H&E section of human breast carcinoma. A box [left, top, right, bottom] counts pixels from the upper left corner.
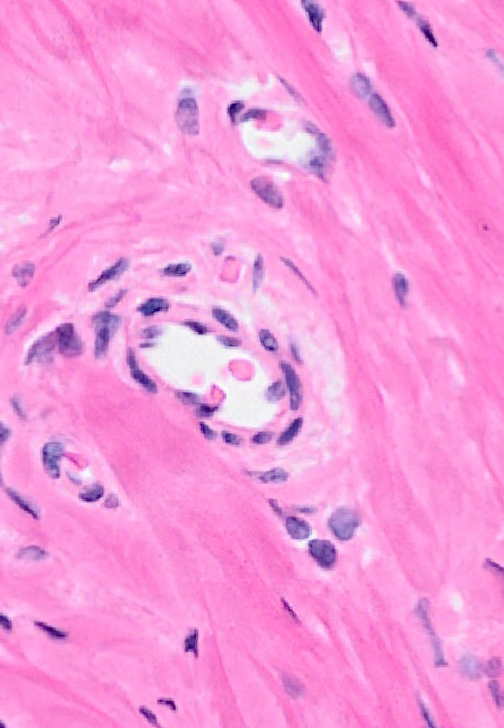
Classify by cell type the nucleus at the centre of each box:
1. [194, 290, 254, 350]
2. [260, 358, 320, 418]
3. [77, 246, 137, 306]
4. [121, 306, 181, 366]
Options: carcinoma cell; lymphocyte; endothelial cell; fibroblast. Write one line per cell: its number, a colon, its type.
1: endothelial cell
2: endothelial cell
3: fibroblast
4: endothelial cell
